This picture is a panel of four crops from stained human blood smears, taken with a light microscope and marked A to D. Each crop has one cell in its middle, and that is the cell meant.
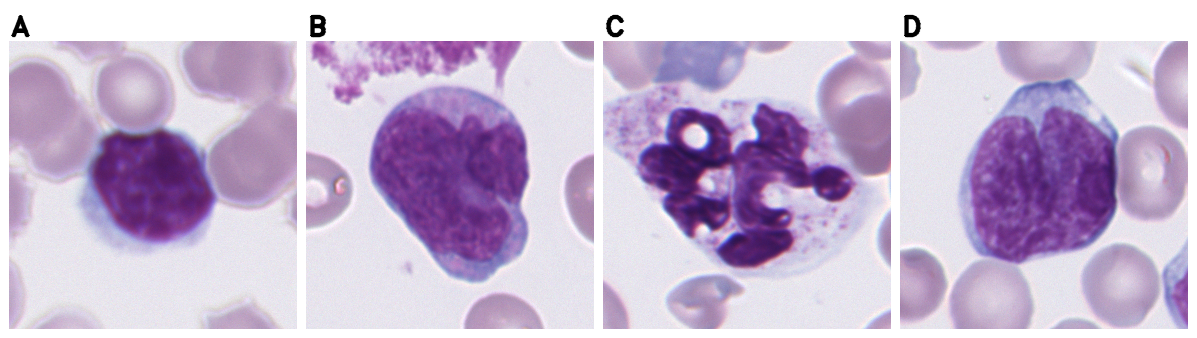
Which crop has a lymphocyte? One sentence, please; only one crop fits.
Among the crops given, only crop A shows a lymphocyte.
